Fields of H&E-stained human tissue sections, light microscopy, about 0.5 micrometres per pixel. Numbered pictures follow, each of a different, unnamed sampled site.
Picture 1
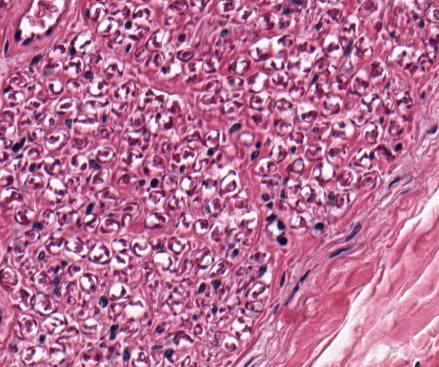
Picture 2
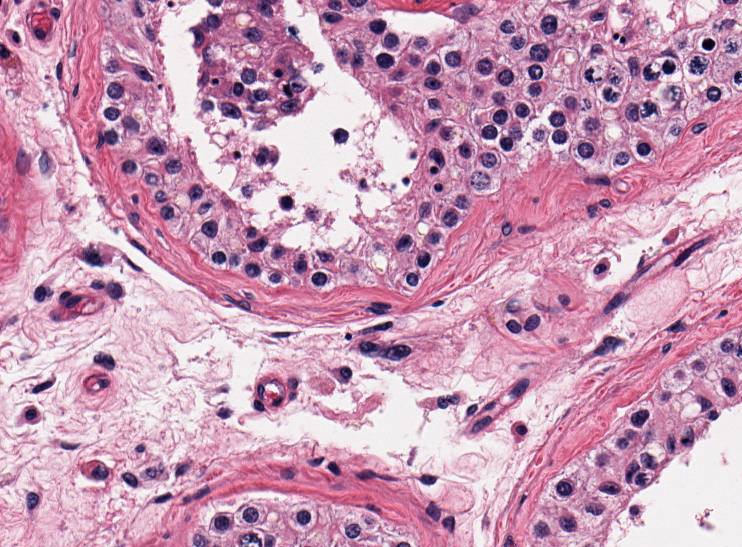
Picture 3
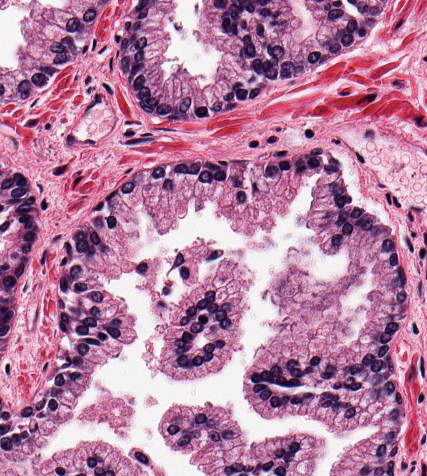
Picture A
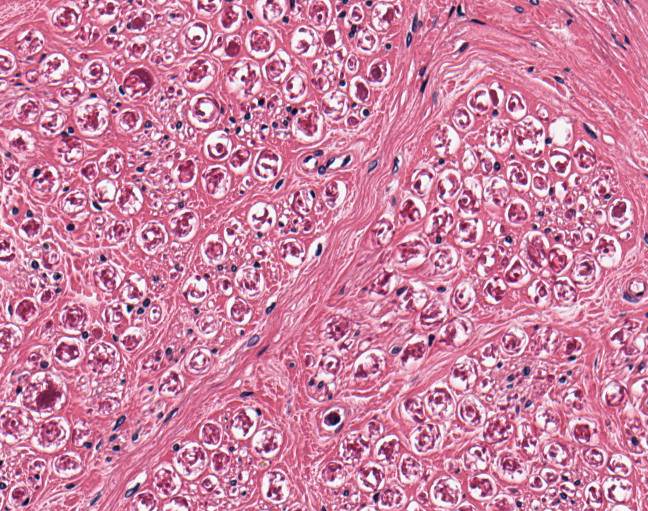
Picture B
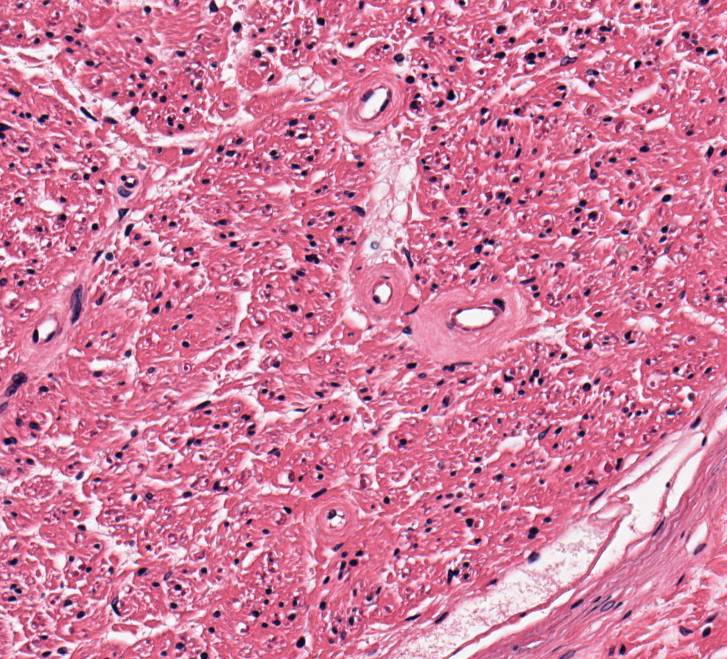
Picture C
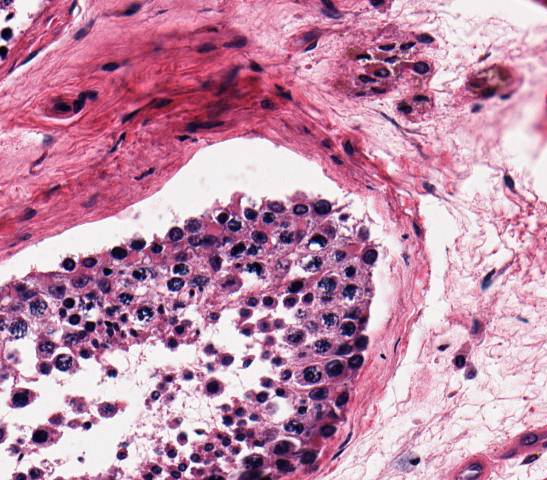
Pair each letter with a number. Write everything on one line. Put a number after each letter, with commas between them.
A 1, B 1, C 2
